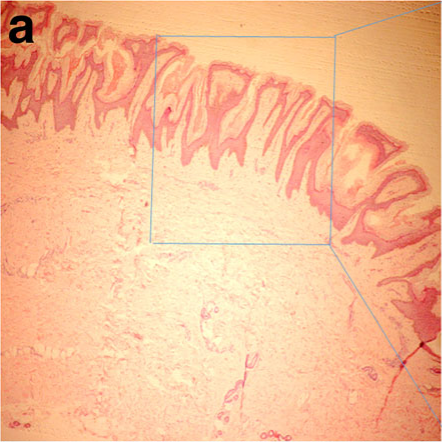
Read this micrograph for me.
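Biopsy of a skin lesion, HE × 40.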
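At low power a band of pink-staining epidermis runs along the top of the section, raised into a regular series of upward folds and spikes, above a broad, pale, loosely textured dermis with a few small vessels. Layers of keratin cover the folded surface. This is a papillomatous, hyperkeratotic epidermis with finger-like projections of the dermal papillae.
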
